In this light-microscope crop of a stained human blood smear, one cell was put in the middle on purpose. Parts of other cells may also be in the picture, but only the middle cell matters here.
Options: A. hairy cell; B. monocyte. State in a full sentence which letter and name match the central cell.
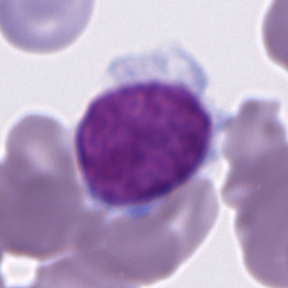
The correct response is option A, naming the cell in the middle as a hairy cell.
